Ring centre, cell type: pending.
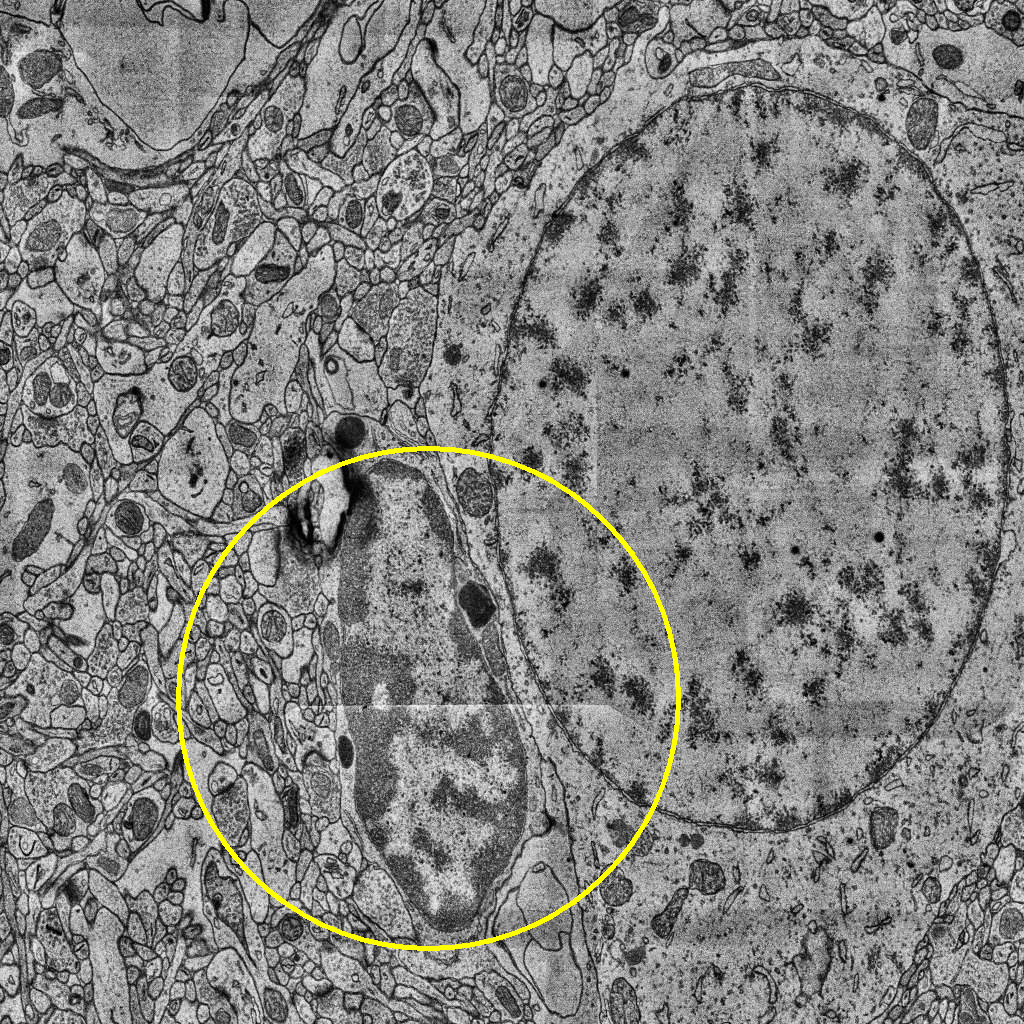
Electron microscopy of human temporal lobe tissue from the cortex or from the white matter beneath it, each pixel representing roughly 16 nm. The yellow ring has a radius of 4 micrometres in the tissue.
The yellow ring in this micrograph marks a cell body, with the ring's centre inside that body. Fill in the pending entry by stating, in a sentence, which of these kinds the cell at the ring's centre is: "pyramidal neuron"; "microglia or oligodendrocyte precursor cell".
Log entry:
The cell at the ring's centre is recorded as a microglial cell or oligodendrocyte precursor cell.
